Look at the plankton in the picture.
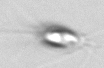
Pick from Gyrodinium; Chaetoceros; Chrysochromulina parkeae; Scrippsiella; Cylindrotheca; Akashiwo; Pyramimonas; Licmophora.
Chrysochromulina parkeae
